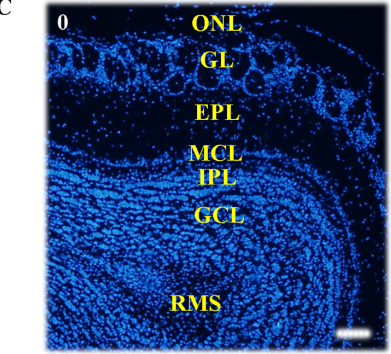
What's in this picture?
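A section of olfactory bulb with nuclei shown in blue, arranged in curved concentric layers. At the surface a thin, sparse layer of nuclei overlies a row of round glomeruli, each a ring of densely packed nuclei around a paler center. Beneath lies a broad layer with few nuclei, then a thin dense band, and deeper a thick zone of densely packed small nuclei arranged in strands.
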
